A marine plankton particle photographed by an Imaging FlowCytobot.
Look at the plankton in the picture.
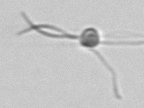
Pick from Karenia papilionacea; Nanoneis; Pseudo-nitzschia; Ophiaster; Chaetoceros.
Ophiaster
